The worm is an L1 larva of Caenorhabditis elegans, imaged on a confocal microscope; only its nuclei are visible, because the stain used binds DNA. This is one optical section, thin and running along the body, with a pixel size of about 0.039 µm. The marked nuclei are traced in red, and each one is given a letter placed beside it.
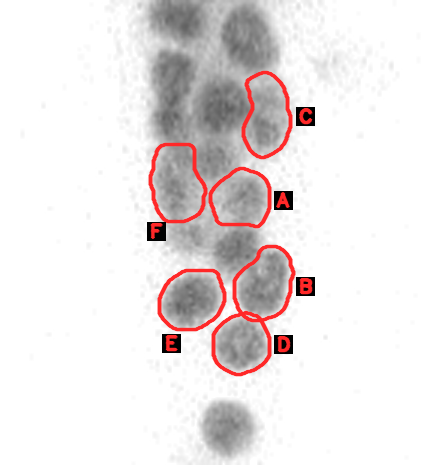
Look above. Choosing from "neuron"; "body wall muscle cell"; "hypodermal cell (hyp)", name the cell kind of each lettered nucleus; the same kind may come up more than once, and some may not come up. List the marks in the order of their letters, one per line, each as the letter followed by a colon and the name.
A: neuron
B: hypodermal cell (hyp)
C: body wall muscle cell
D: hypodermal cell (hyp)
E: neuron
F: body wall muscle cell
